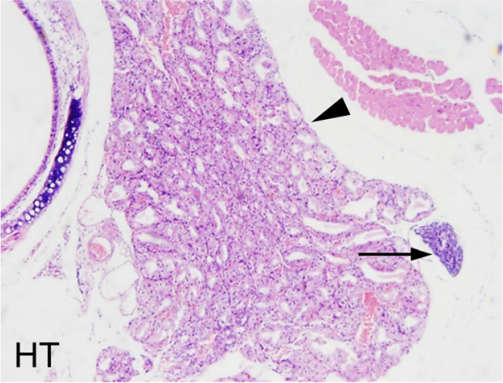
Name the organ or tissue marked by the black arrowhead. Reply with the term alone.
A: Thyroid gland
